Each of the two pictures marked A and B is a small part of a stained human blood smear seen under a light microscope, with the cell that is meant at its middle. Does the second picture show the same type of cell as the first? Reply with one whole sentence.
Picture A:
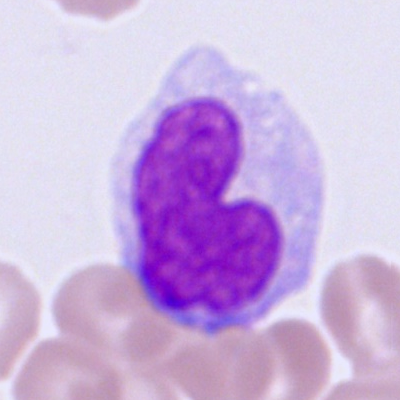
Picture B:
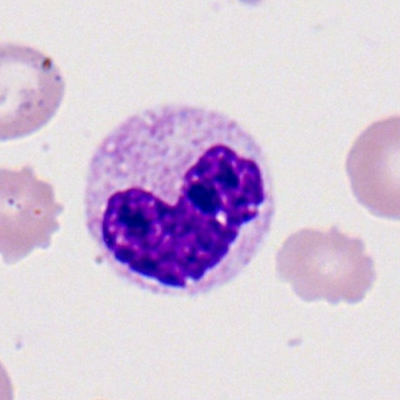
No, picture A shows a monocyte and picture B shows a band neutrophil.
